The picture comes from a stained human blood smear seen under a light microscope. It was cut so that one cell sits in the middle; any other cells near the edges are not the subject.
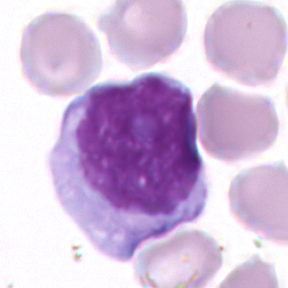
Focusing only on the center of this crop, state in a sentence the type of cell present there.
The centered cell in this crop is a plasma cell.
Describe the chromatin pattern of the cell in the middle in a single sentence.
The key point is fine chromatin with no coarse clumps.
